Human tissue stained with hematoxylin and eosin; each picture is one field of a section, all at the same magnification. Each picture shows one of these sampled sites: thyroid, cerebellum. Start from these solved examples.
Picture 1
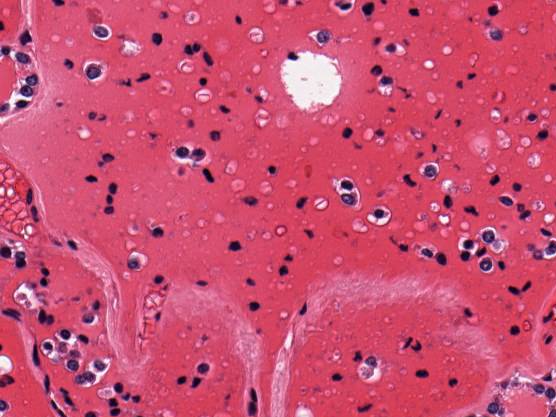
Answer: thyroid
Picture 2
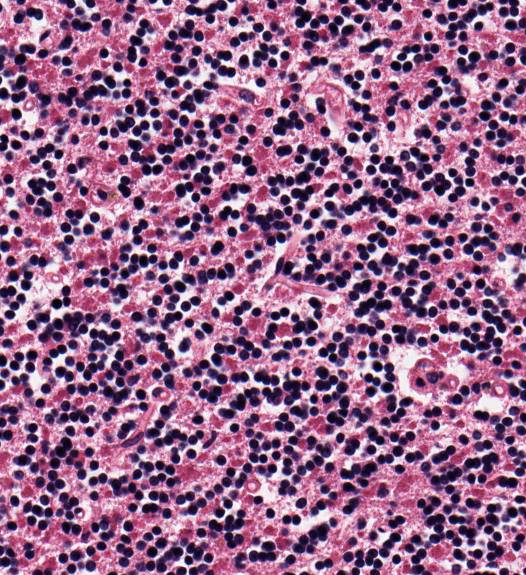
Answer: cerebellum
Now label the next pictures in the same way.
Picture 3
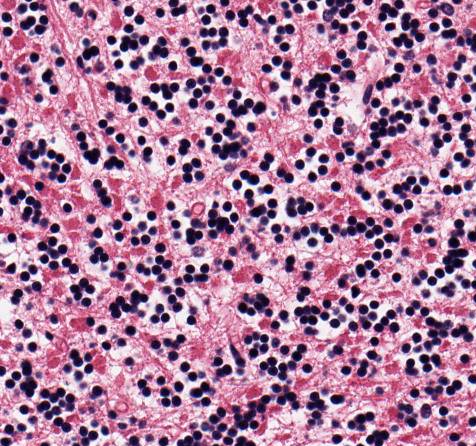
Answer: cerebellum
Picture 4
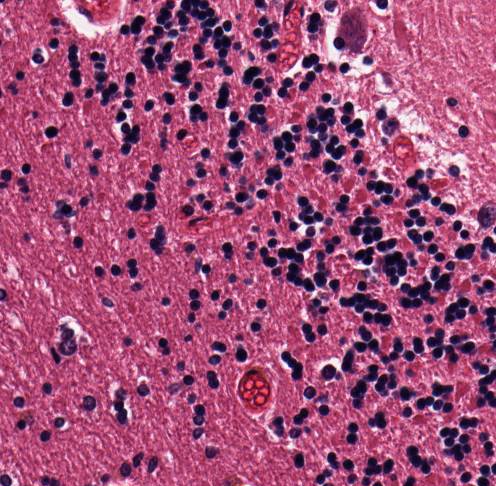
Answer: cerebellum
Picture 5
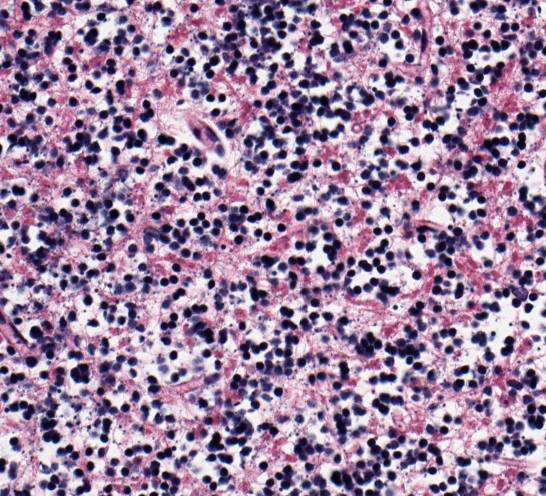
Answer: cerebellum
